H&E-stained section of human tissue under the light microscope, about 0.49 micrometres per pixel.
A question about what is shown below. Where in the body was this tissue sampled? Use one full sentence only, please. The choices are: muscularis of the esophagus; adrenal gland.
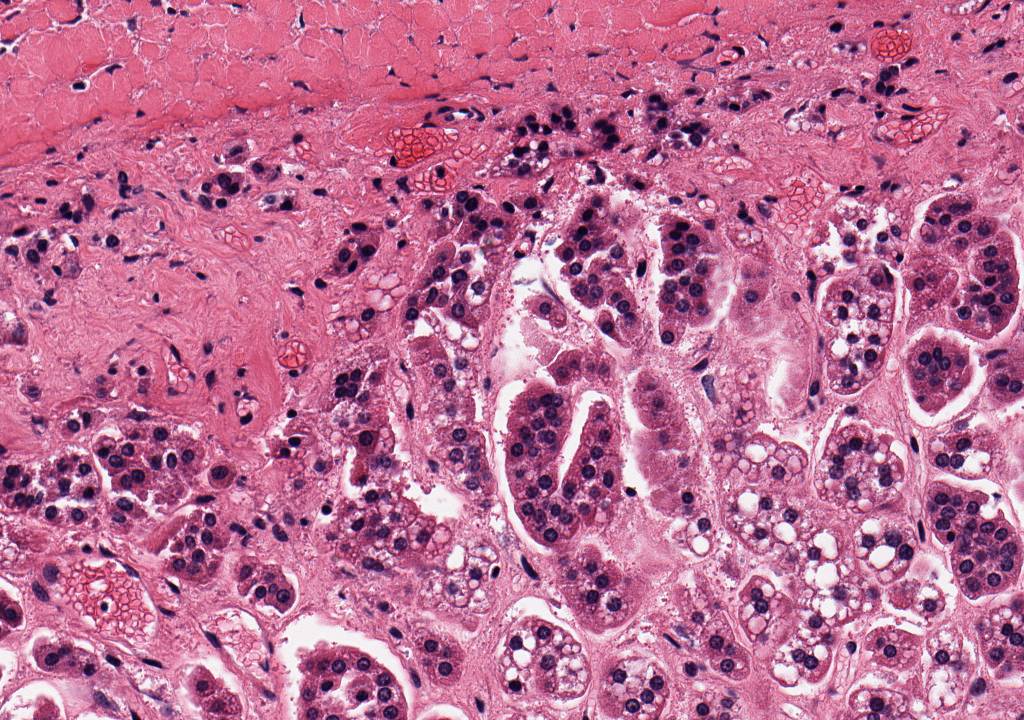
This tissue sample was collected from the adrenal gland.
